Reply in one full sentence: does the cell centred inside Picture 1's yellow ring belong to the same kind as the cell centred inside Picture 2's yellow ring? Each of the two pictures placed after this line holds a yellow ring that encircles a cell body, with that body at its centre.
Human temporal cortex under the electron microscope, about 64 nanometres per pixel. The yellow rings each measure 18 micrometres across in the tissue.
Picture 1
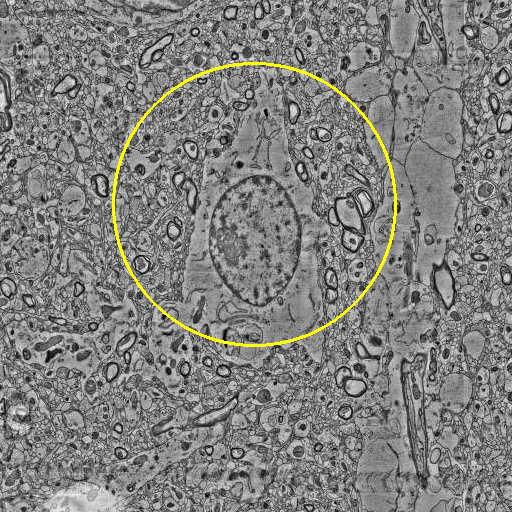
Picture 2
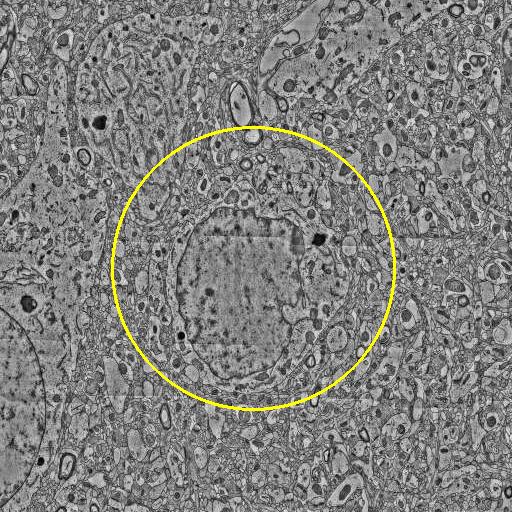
No, the ring-centred cells in Picture 1 and Picture 2 are of two separate kinds.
